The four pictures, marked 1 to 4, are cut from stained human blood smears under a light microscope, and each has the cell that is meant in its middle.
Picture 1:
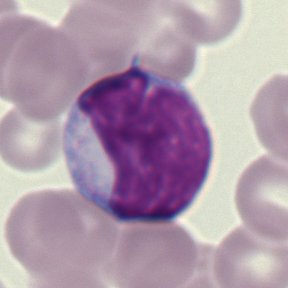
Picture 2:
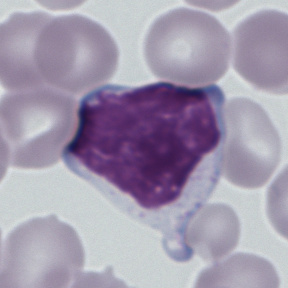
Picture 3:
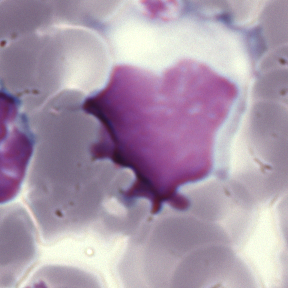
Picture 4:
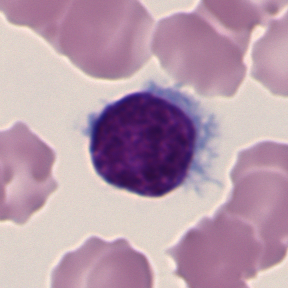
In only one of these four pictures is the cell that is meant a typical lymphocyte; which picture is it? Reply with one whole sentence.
The picture with the typical lymphocyte is 3.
